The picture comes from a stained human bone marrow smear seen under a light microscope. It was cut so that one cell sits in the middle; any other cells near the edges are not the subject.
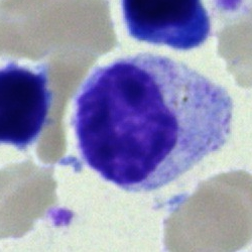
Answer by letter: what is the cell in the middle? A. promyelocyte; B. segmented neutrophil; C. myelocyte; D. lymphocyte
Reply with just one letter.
C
